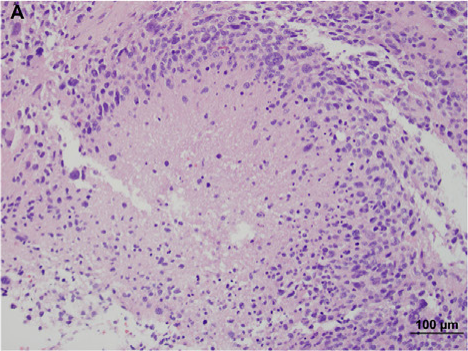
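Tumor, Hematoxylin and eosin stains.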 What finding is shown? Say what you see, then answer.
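A broad central zone is pale pink, granular and nearly free of intact nuclei. Densely packed dark nuclei crowd along the margins of the pale zone. On this evidence: necrosis.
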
